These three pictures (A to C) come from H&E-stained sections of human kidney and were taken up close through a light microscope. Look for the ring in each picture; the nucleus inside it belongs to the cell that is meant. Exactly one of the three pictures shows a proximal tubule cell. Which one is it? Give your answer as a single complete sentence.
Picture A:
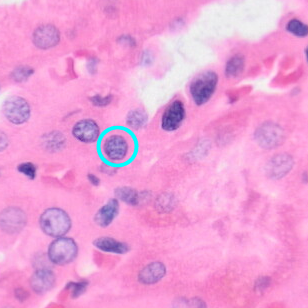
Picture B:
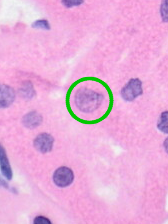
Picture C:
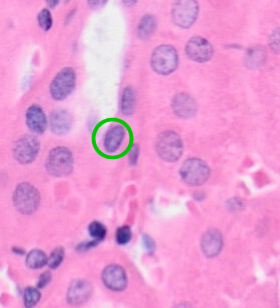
The picture with the proximal tubule cell is B.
